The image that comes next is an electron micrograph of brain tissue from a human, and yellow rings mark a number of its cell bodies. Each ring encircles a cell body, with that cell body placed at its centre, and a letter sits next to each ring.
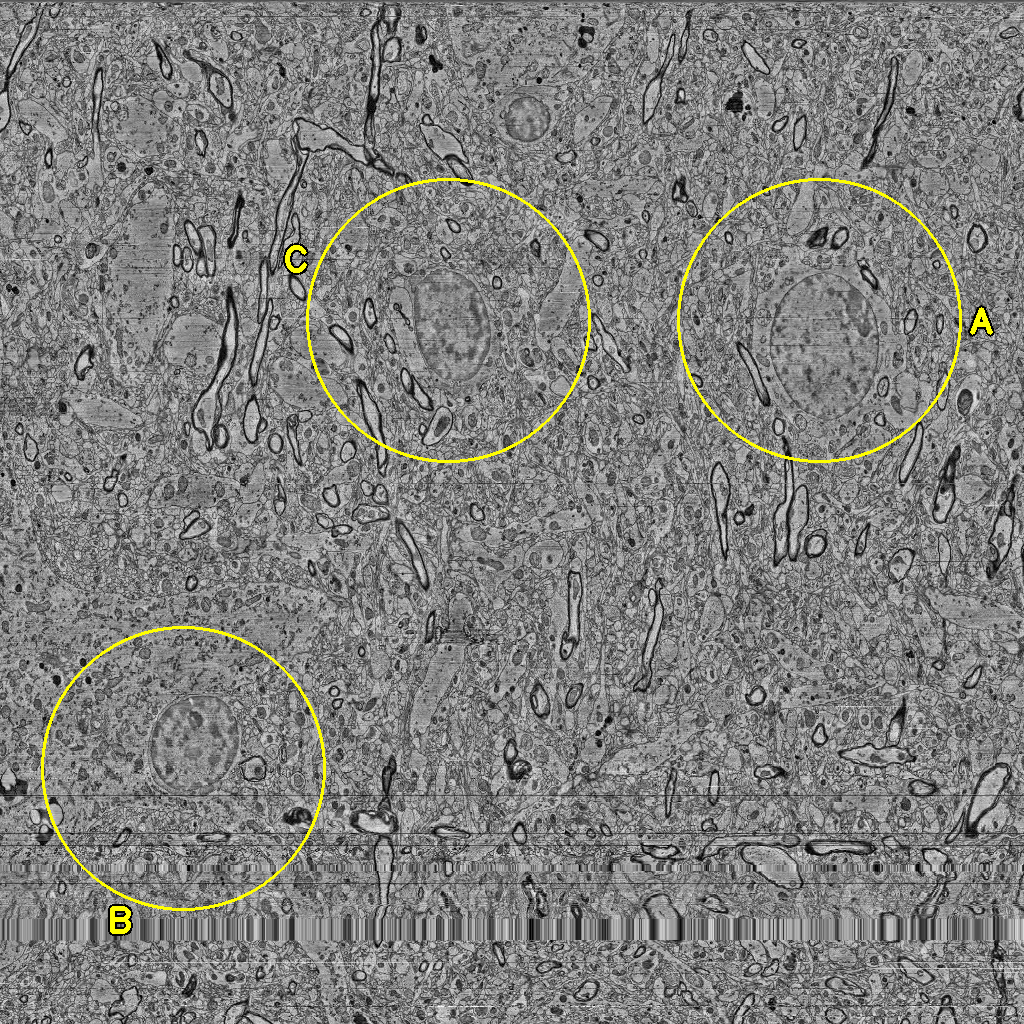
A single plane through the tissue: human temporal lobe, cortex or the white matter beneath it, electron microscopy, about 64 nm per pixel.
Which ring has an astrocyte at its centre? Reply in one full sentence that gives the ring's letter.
In the image, ring A has the cell the question asks for at its centre.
